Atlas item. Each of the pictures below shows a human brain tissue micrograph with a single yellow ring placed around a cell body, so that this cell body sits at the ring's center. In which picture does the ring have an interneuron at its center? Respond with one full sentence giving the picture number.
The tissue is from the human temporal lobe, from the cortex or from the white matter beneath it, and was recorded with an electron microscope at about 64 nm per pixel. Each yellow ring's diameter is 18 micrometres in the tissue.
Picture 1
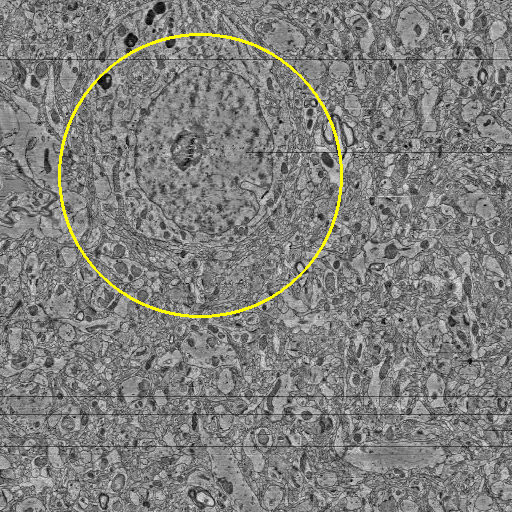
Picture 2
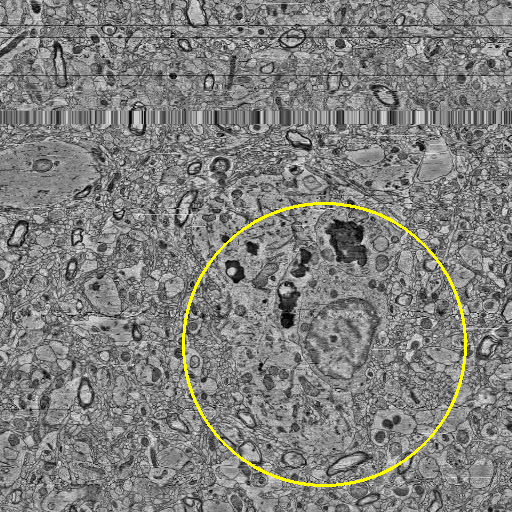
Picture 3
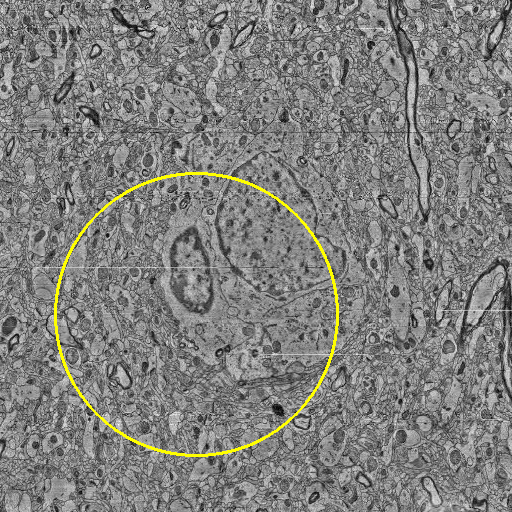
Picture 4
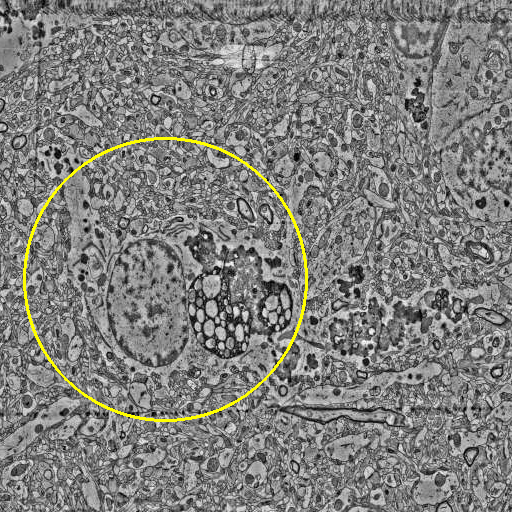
The cell at the ring's center that fits lies in picture 1.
